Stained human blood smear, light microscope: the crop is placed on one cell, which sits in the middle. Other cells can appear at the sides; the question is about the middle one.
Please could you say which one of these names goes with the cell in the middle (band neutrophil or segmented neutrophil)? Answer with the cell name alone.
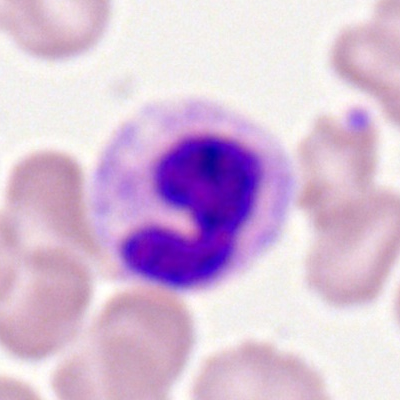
band neutrophil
